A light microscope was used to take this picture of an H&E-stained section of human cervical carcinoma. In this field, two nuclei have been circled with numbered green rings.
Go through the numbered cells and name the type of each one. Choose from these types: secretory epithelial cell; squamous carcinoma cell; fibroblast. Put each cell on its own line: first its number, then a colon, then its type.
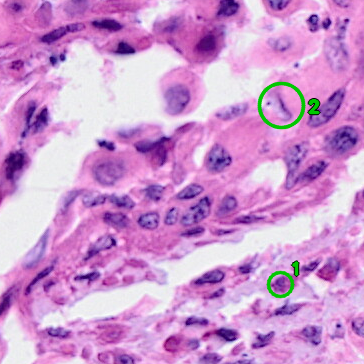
1: fibroblast
2: squamous carcinoma cell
